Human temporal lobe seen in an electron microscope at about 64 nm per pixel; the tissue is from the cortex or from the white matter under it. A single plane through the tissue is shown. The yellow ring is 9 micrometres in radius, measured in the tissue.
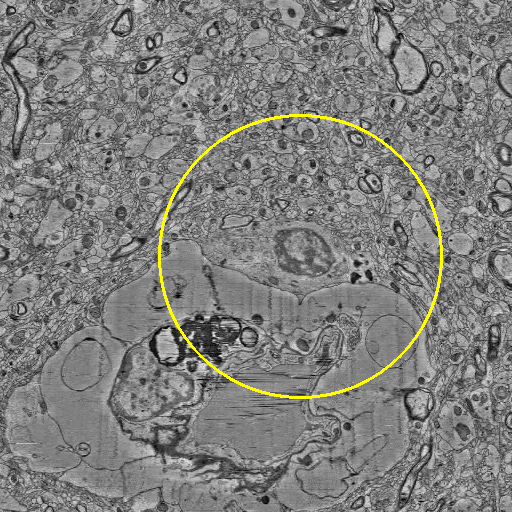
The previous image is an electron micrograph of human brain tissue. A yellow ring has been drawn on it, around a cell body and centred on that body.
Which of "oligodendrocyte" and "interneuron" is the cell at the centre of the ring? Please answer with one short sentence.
The cell body at the centre of the ring belongs to an oligodendrocyte.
